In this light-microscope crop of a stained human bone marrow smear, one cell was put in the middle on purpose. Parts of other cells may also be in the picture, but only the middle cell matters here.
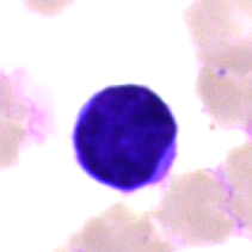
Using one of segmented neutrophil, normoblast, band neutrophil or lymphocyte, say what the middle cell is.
lymphocyte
